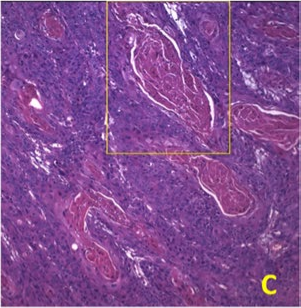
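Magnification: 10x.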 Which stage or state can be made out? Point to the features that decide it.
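Many pink keratinized masses lie throughout the tumor. Tumor cells have abundant pink cytoplasm.
Hence: Well differentiated.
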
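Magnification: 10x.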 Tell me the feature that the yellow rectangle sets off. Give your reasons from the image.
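The boxed area holds a concentrically layered pink mass. The pink mass is surrounded by a rim of epithelial cells. The answer: keratin pearl.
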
